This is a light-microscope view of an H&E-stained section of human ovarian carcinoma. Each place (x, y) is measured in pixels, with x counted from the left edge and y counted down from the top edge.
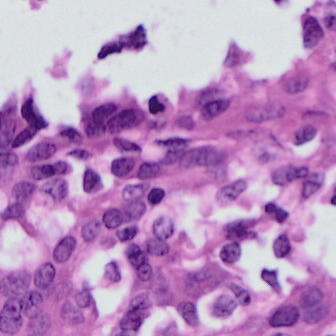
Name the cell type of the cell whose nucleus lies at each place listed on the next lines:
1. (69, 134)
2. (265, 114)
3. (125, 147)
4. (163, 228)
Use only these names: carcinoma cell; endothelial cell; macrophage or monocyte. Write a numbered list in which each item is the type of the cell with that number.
1. carcinoma cell
2. endothelial cell
3. carcinoma cell
4. macrophage or monocyte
